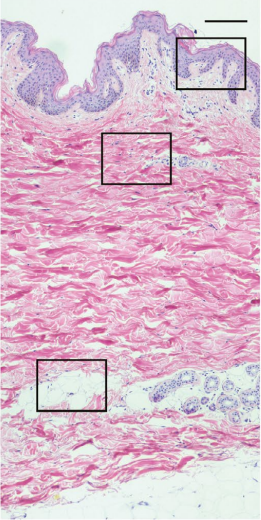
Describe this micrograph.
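This is a section of skin showing its layers from the surface downward. At the top a stratified epidermis of closely packed cells with purple nuclei forms an undulating border with the tissue below. Beneath it lies a thick dermis of wavy pink collagen bundles with sparse elongated nuclei and a few small clusters of cells. Towards the bottom the fibres give way to subcutis with large empty, thin-walled fat spaces.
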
